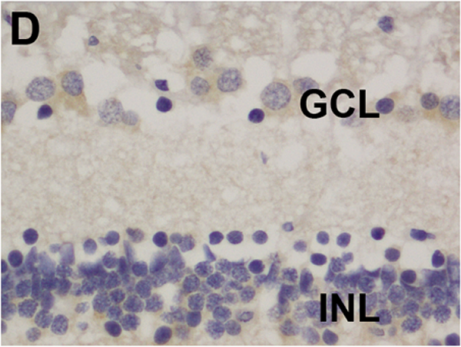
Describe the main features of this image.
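This is a section of the inner retina, with the ganglion cell layer at the top and the inner nuclear layer at the bottom. The ganglion cell layer holds a single, discontinuous row of fairly large cells with round, pale blue nuclei, some with a faint light brown cytoplasm, beneath a vacuolated fibre layer. A thick, pale, finely fibrillar layer separates it from the inner nuclear layer. The inner nuclear layer is a dense band of many small, closely packed, round, dark blue nuclei.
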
